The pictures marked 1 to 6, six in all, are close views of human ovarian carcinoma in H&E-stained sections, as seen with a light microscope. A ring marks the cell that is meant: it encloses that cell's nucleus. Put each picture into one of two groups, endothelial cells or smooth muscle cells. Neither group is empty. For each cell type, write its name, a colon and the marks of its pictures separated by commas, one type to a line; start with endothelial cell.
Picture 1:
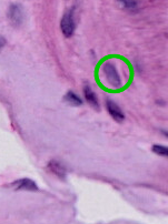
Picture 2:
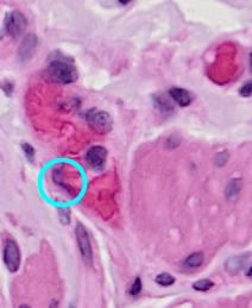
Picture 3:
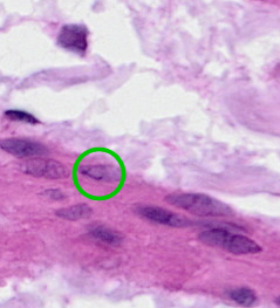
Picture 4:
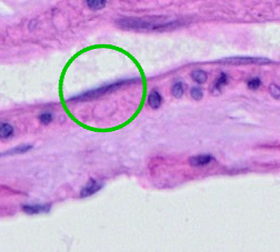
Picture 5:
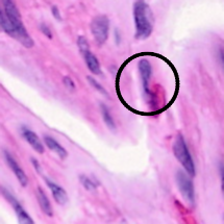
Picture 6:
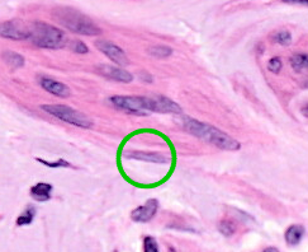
endothelial cell: 2, 4, 5
smooth muscle cell: 1, 3, 6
